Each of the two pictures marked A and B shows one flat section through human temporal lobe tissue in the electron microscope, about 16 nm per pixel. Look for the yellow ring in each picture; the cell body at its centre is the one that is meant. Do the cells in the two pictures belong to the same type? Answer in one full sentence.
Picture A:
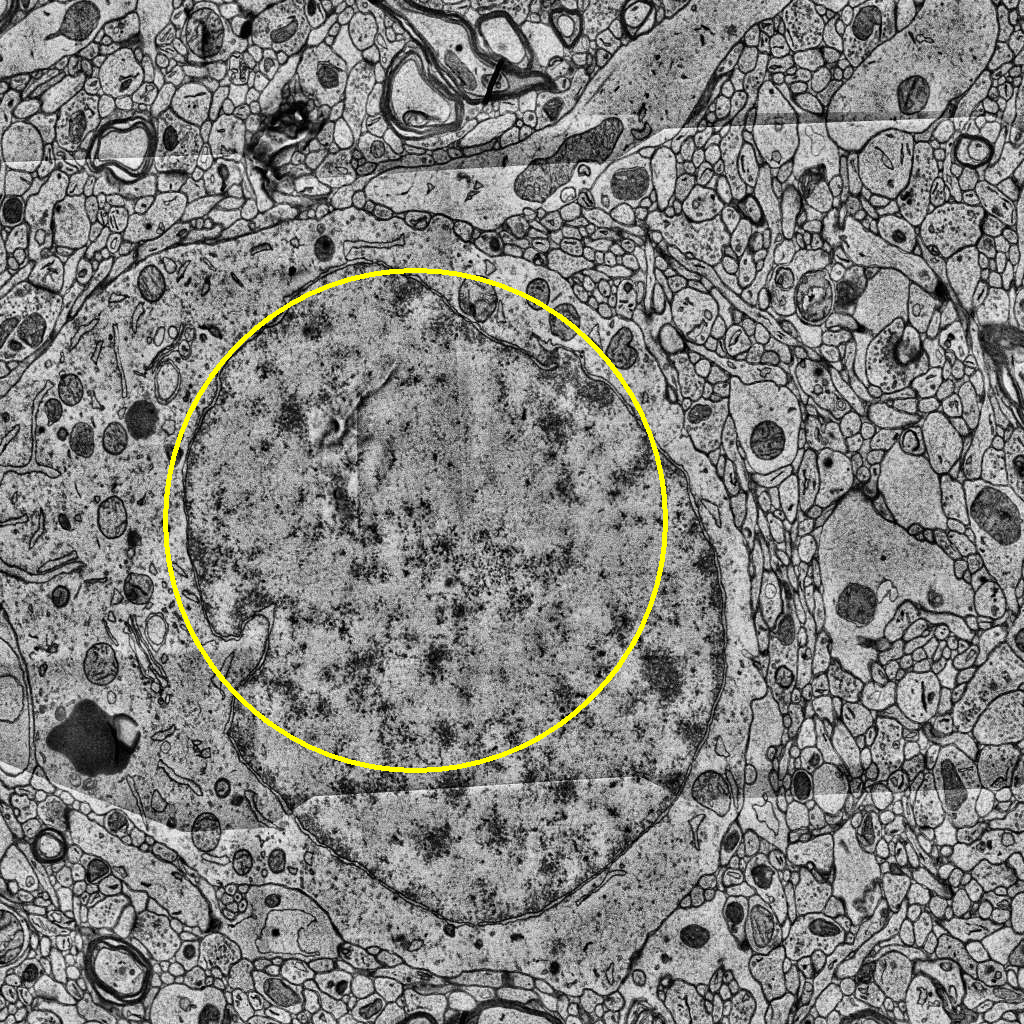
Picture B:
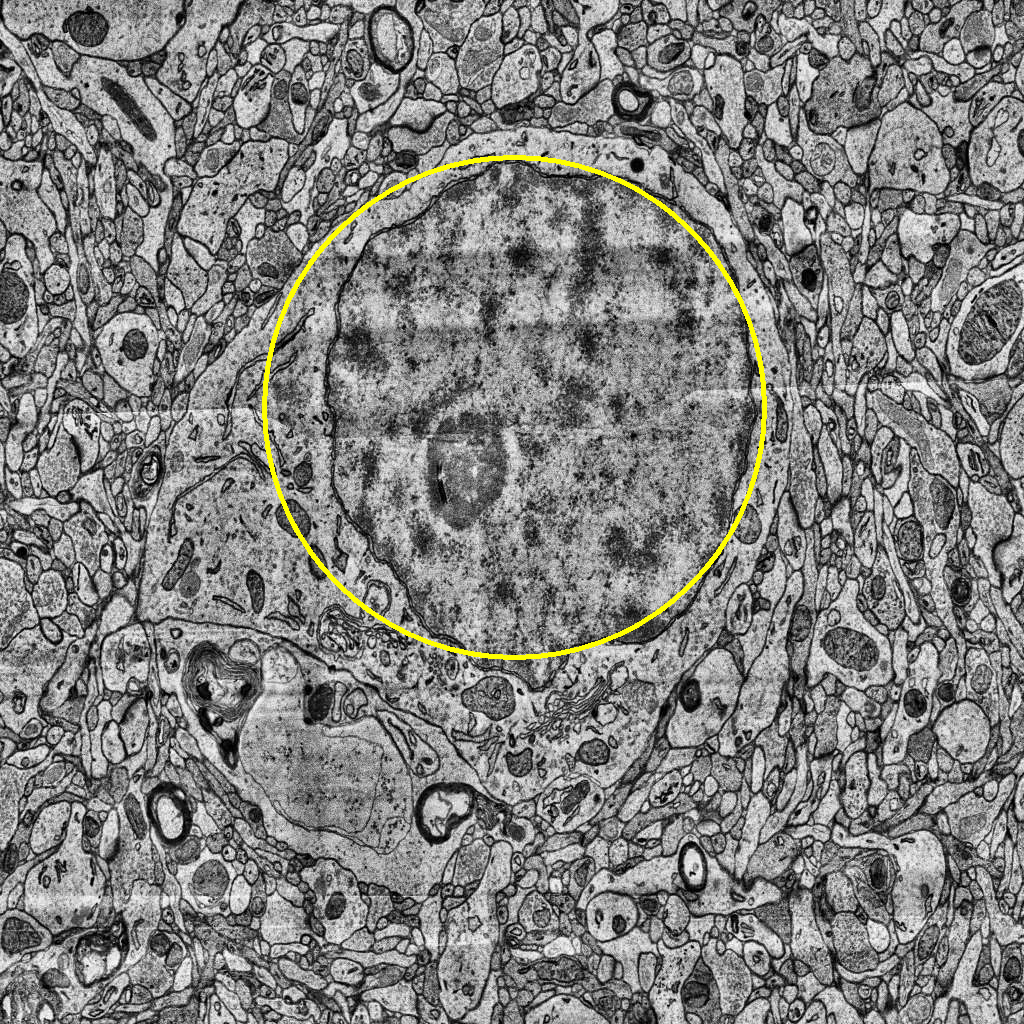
Yes, the two pictures both show interneurons.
